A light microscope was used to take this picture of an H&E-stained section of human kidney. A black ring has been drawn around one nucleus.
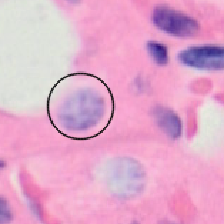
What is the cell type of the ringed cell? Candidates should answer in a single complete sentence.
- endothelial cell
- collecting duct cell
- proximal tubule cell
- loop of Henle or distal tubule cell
To be brief about it, the ringed cell is a loop of Henle or distal tubule cell.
